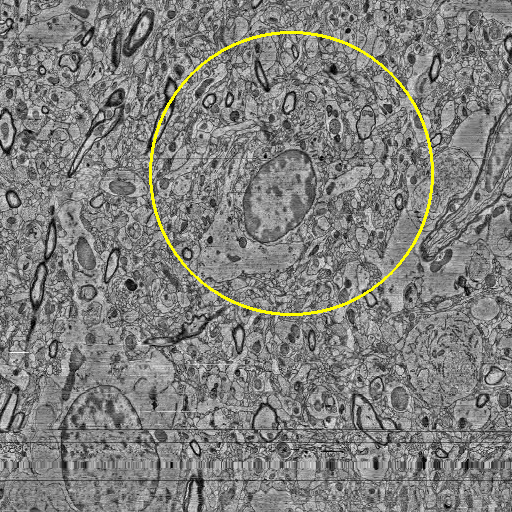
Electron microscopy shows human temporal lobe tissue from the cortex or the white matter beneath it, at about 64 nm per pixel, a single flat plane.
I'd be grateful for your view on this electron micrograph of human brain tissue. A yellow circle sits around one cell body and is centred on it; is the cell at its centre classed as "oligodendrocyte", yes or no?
no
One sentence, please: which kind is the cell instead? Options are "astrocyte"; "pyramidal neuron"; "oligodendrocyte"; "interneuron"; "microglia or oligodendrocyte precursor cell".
The cell at the ring centre is a microglial cell or oligodendrocyte precursor cell.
